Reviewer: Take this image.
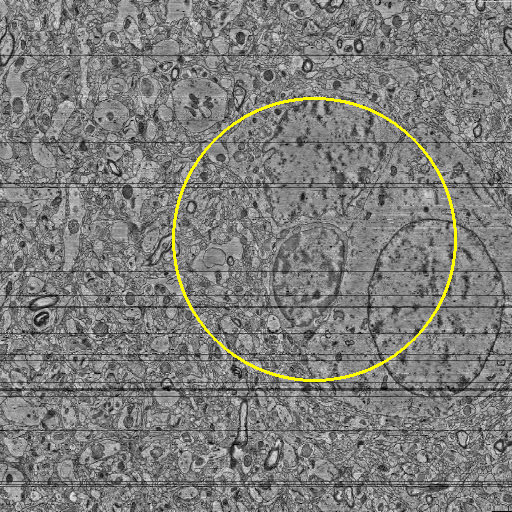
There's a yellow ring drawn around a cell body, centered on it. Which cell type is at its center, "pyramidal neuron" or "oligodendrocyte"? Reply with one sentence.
At the center of the yellow ring is an oligodendrocyte.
